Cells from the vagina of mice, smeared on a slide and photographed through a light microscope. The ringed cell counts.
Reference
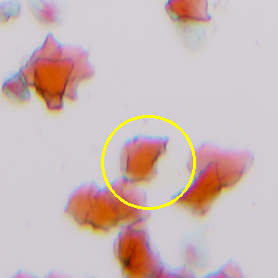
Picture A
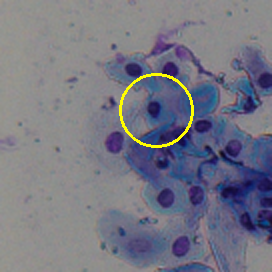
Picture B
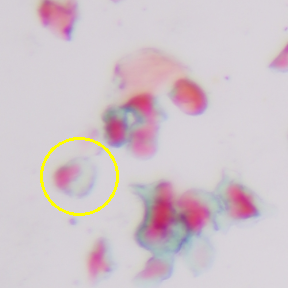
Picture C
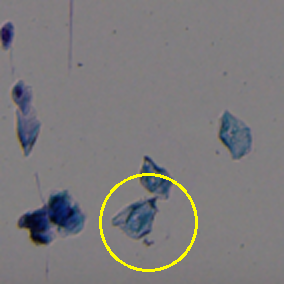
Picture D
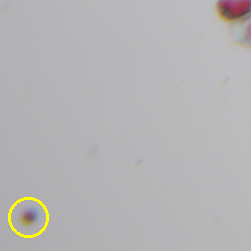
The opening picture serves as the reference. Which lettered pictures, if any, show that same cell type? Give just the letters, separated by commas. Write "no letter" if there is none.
C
